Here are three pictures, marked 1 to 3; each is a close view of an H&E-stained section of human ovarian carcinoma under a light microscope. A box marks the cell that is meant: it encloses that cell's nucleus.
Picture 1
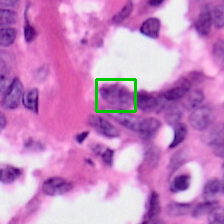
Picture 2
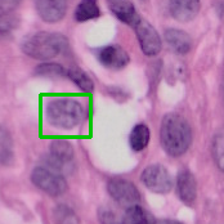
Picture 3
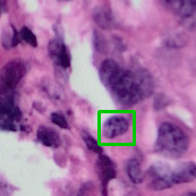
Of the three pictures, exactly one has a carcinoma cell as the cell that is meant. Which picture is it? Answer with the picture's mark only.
1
